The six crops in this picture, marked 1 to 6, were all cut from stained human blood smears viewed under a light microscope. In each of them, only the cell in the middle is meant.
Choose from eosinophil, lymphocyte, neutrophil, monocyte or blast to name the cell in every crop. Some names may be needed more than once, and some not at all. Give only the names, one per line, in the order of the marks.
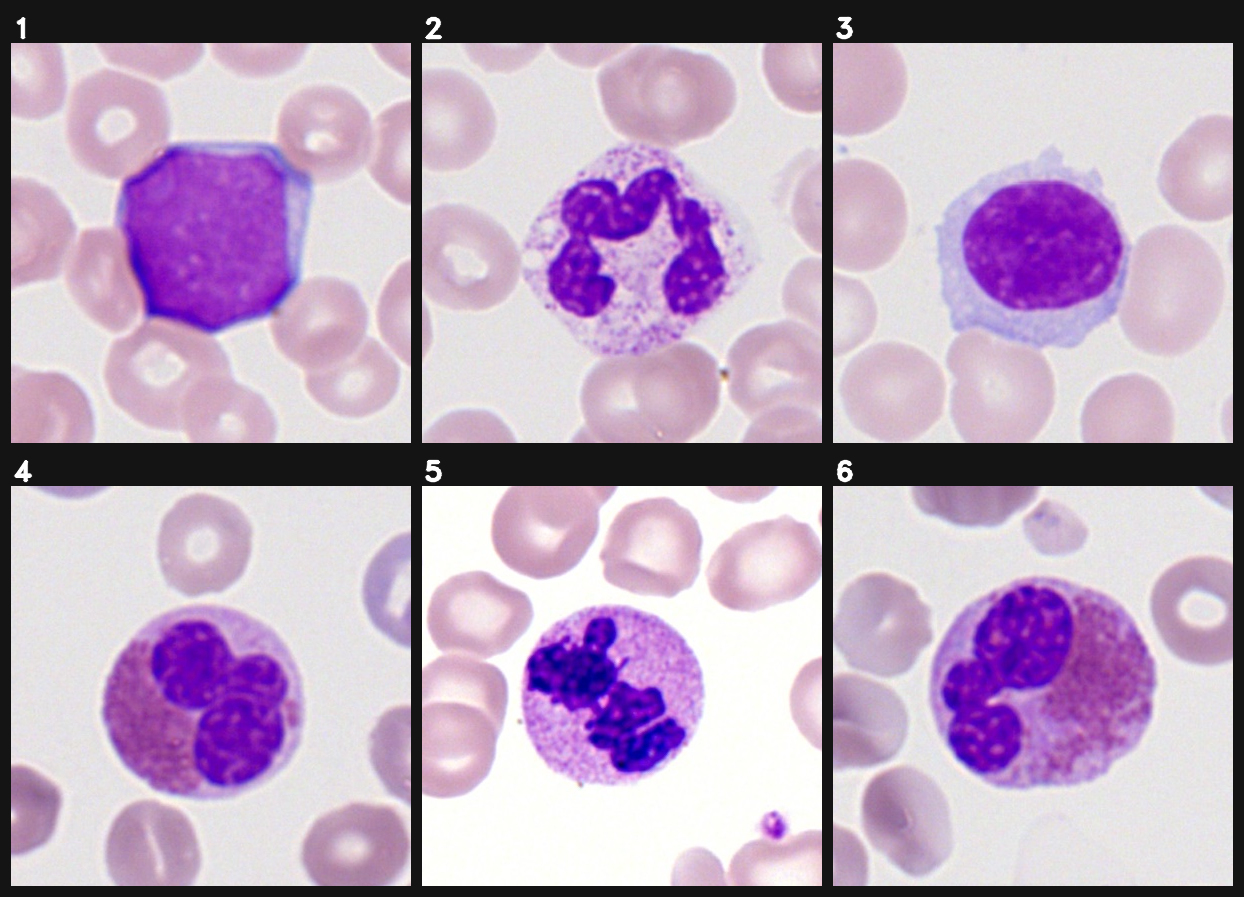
blast
neutrophil
lymphocyte
eosinophil
neutrophil
eosinophil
